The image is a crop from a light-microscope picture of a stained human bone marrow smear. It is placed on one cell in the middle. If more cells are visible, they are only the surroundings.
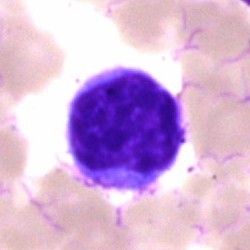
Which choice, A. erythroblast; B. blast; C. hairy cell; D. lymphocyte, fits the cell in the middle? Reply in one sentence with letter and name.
The central cell is a lymphocyte, which makes option D the right answer.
